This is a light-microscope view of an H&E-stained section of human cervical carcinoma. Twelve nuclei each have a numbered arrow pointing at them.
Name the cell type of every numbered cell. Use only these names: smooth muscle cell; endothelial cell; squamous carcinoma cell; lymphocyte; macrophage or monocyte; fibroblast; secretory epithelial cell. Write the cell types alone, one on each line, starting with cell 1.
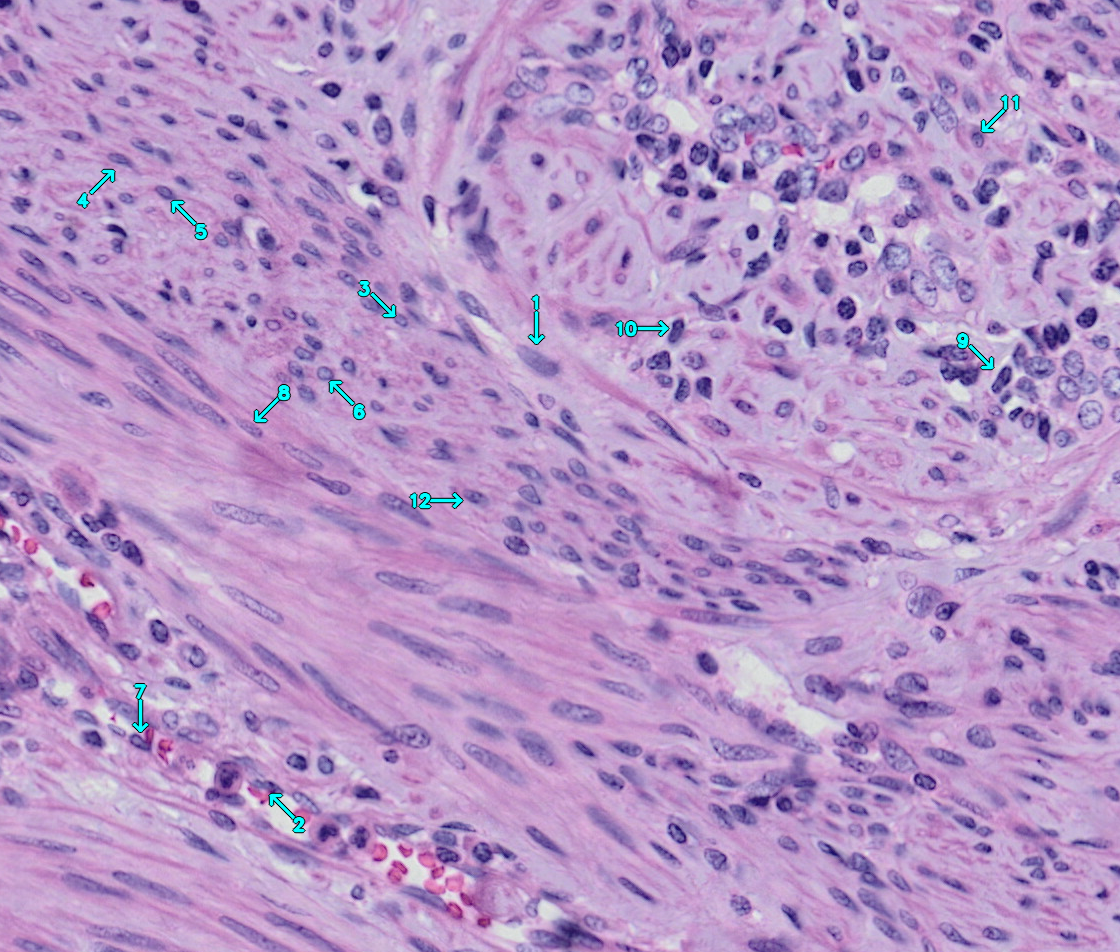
fibroblast
endothelial cell
smooth muscle cell
smooth muscle cell
smooth muscle cell
smooth muscle cell
endothelial cell
smooth muscle cell
lymphocyte
lymphocyte
smooth muscle cell
smooth muscle cell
